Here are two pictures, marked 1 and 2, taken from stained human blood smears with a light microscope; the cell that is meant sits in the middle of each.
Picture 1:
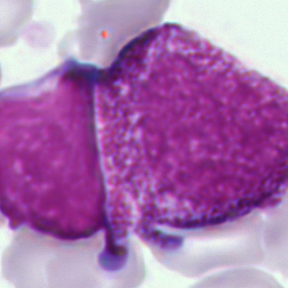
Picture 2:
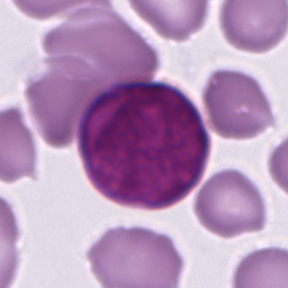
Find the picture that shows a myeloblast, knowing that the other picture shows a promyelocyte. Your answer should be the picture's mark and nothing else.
2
